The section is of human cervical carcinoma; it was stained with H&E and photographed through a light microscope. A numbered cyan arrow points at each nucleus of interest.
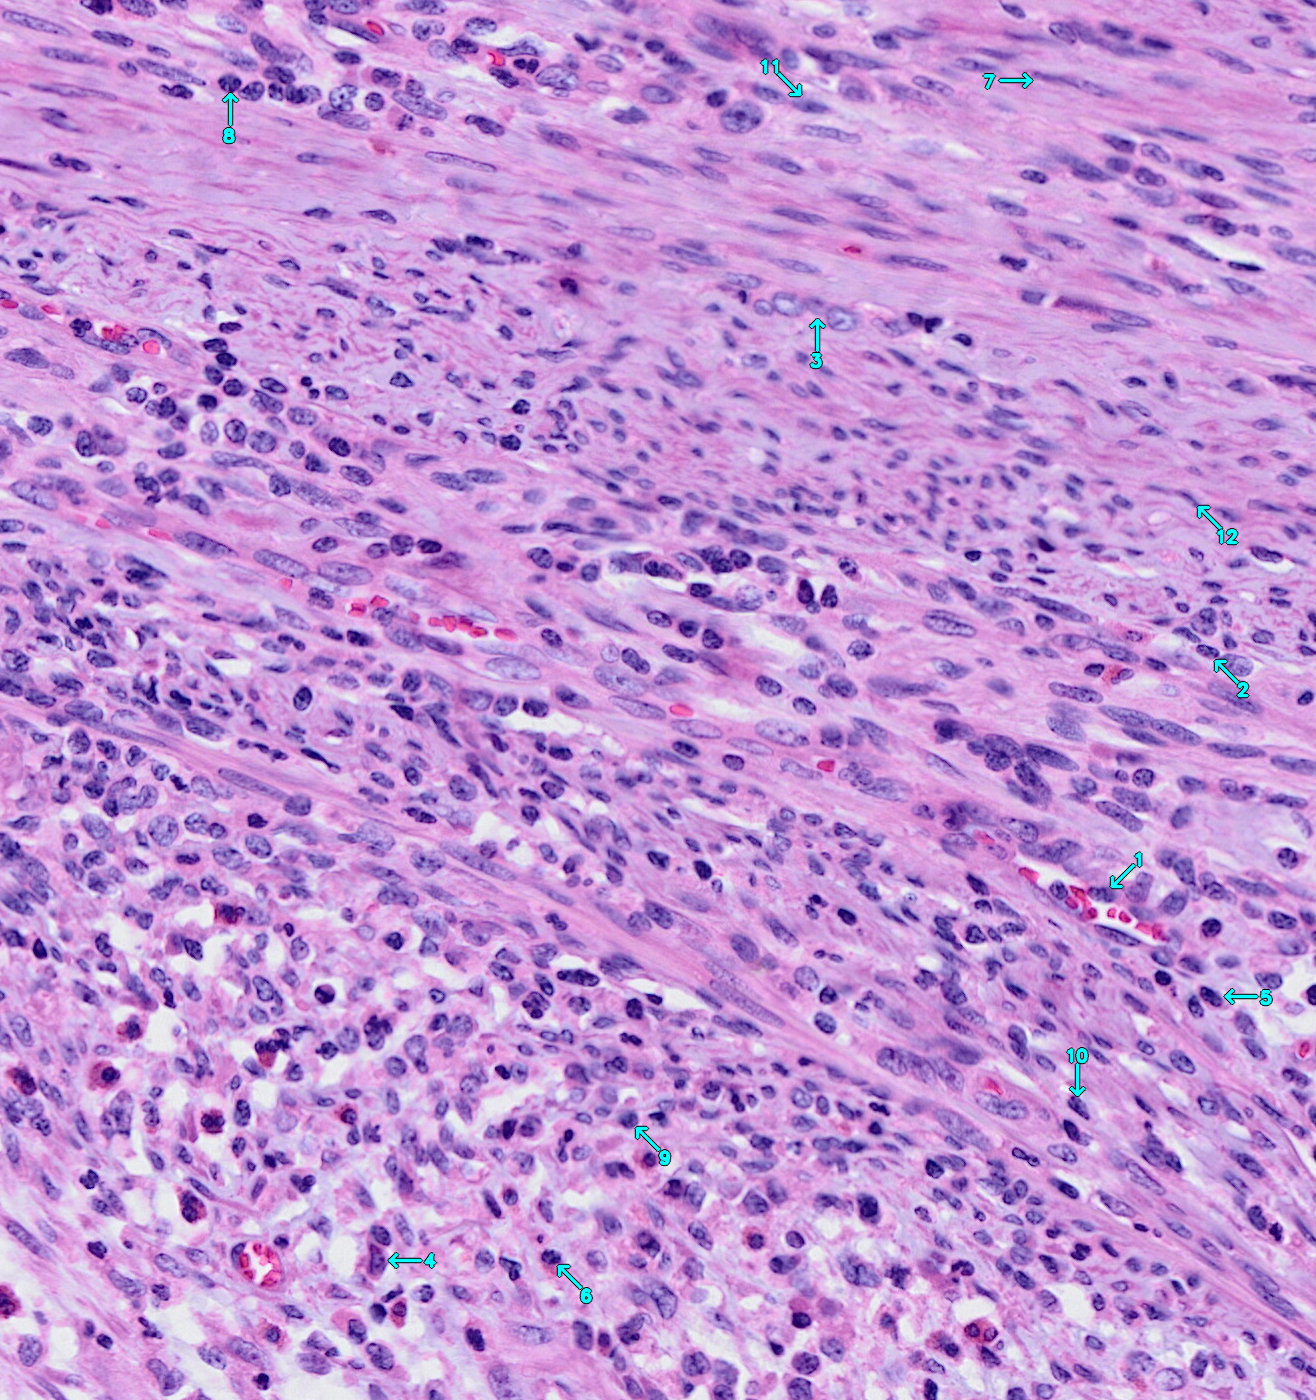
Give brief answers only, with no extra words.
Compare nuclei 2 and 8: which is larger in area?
8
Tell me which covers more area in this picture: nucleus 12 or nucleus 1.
1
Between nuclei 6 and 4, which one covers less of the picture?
6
